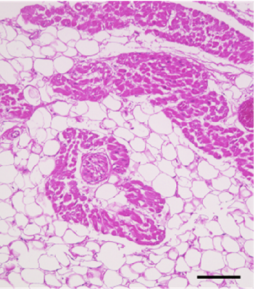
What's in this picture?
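This is adipose tissue made of many fat cells, each seen as a clear, empty-looking round or polygonal space bounded by a thin pink rim. Winding through the fat are thick, deeply pink-staining bundles of muscle-like tissue with a dense, fibrous texture. The fat cells crowd right up against these pink bundles, so fat and bundles interleave across the field.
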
